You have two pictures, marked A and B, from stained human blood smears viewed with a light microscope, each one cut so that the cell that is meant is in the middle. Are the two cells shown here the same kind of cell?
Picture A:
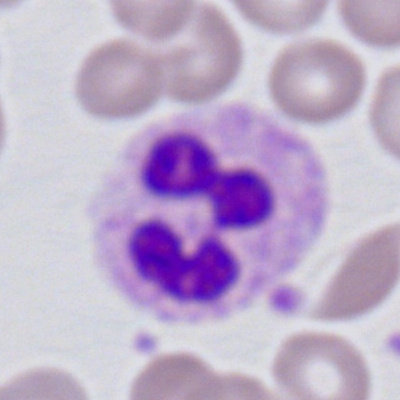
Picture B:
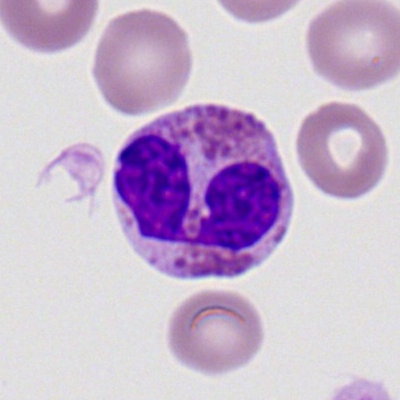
no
